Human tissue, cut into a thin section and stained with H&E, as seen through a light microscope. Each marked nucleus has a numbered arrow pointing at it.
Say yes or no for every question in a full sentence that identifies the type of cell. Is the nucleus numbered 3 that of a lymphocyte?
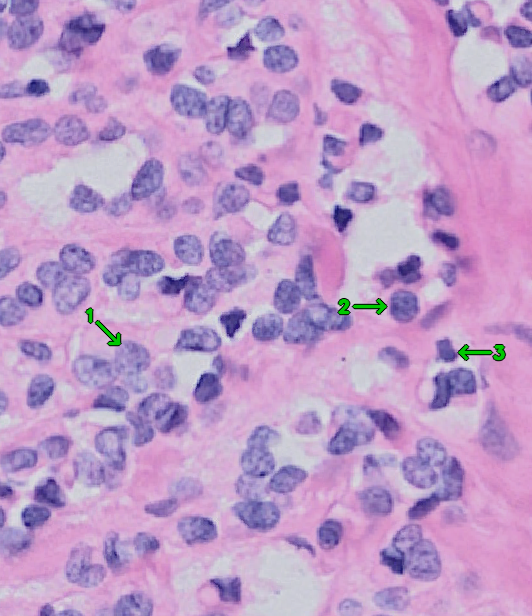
Yes, it is a lymphocyte that carries the number 3.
